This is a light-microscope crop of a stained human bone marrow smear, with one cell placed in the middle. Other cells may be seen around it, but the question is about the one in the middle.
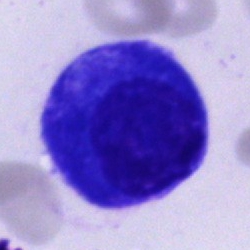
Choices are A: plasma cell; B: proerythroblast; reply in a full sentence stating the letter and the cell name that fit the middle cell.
The central cell in this crop is a plasma cell, so the correct choice is option A.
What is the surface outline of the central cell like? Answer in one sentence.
From every side, the cell boundary is smooth and free of projections.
